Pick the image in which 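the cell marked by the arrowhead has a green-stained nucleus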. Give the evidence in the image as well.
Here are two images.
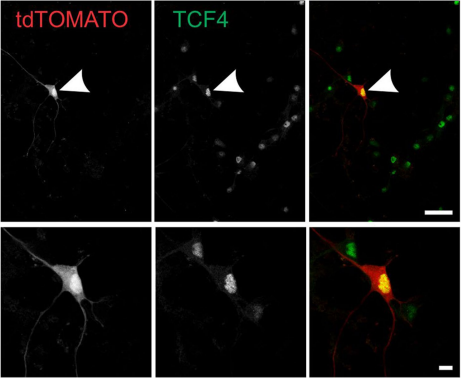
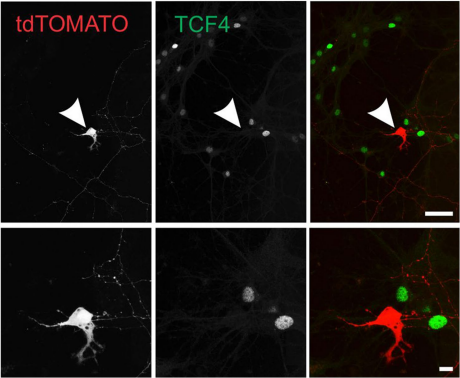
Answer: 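The first image. Second image: the red-filled cell at the arrowhead shows no green in its nucleus, while separate neighbouring nuclei are bright green. First image: the red-filled cell at the arrowhead has a bright green nucleus and appears yellow-orange in the merged view.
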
